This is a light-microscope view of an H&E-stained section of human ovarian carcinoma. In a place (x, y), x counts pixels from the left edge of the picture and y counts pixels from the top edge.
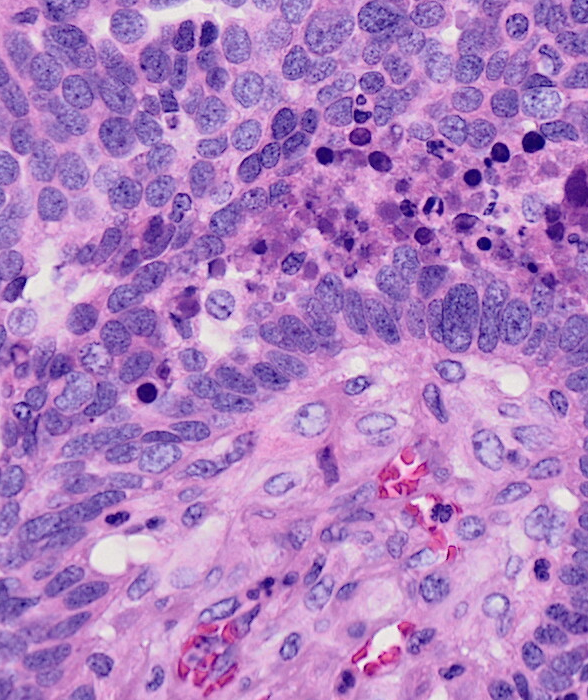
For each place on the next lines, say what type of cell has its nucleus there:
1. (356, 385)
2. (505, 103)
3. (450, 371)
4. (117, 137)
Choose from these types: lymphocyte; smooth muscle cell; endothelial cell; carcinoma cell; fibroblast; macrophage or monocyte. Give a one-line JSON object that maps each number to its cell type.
{"1": "fibroblast", "2": "carcinoma cell", "3": "fibroblast", "4": "carcinoma cell"}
